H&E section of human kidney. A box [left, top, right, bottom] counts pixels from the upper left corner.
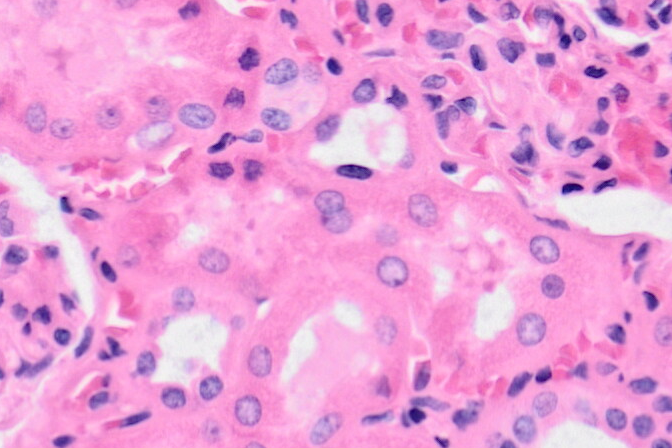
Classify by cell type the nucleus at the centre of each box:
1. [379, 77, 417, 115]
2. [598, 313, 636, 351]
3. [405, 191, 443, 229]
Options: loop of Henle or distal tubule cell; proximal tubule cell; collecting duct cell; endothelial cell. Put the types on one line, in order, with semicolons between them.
loop of Henle or distal tubule cell; endothelial cell; proximal tubule cell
